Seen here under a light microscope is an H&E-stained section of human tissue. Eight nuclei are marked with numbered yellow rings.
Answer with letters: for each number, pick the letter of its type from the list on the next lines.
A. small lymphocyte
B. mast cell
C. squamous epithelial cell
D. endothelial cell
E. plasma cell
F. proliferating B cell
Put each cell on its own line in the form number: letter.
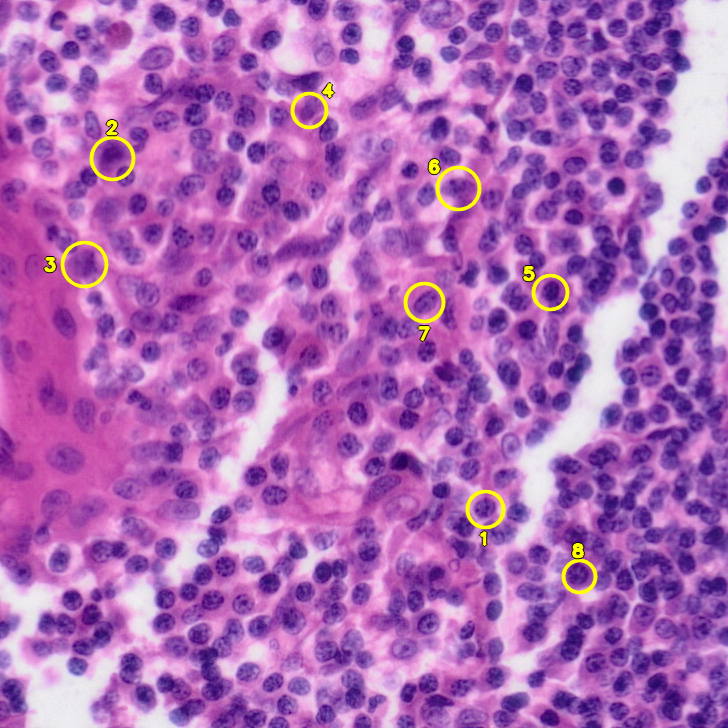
1: E
2: C
3: C
4: C
5: E
6: C
7: E
8: E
